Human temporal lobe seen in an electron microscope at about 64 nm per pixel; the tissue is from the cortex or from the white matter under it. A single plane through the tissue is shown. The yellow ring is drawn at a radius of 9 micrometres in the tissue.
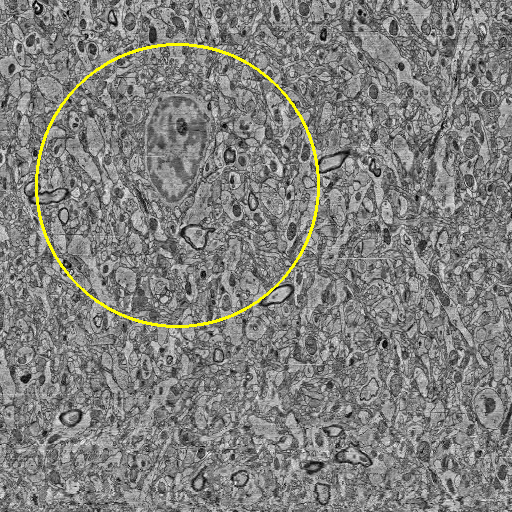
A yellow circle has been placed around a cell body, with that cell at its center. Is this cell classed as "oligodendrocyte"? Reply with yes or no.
Yes, it belongs to that class.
